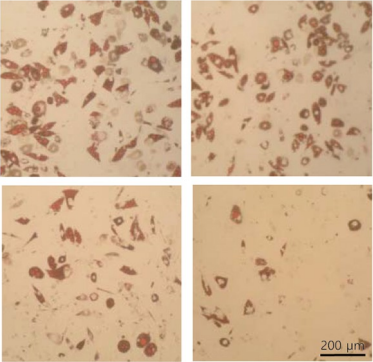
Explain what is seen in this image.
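Four fields of cultured cells on a pale background are shown in a two-by-two arrangement. Many cells are rounded or irregular and contain red-stained material in their cytoplasm, some appearing almost entirely filled with red droplets. Cells are scattered rather than forming a continuous sheet, and the density of red-filled cells differs among the fields, with the lower right field appearing sparser.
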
